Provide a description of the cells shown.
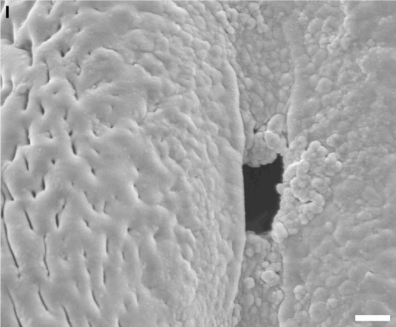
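At high magnification a sunken strip crosses the wall; within it lies a dark irregular opening, and the strip is crowded with small granules, while the wall beside it is smoother and perforated. This is the aperture region of a pollen grain.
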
